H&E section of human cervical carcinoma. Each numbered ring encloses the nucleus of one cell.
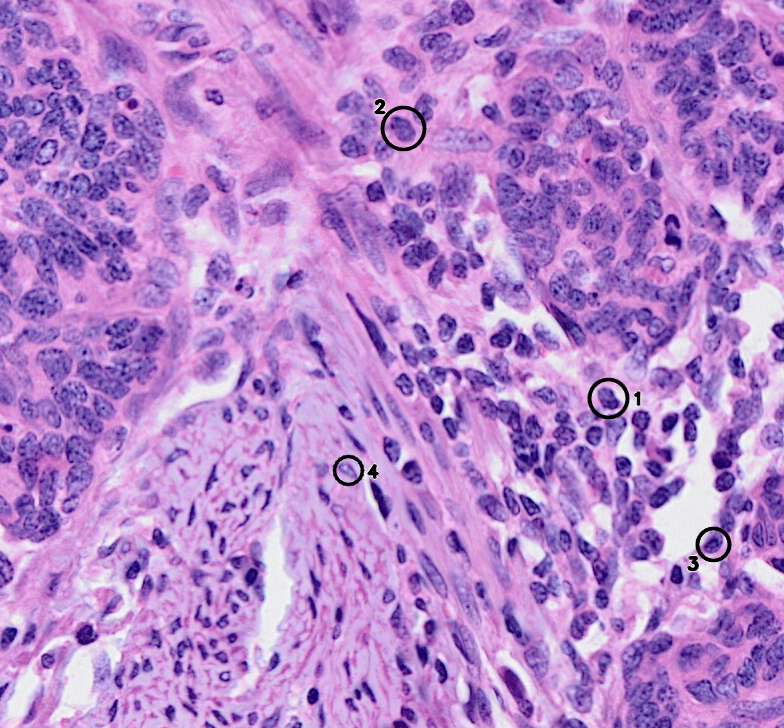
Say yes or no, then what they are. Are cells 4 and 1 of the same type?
No, cell 4 is identified as a smooth muscle cell, and cell 1 is identified as a lymphocyte.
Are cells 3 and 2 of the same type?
Yes, cells 3 and 2 both belong to the category of lymphocytes.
